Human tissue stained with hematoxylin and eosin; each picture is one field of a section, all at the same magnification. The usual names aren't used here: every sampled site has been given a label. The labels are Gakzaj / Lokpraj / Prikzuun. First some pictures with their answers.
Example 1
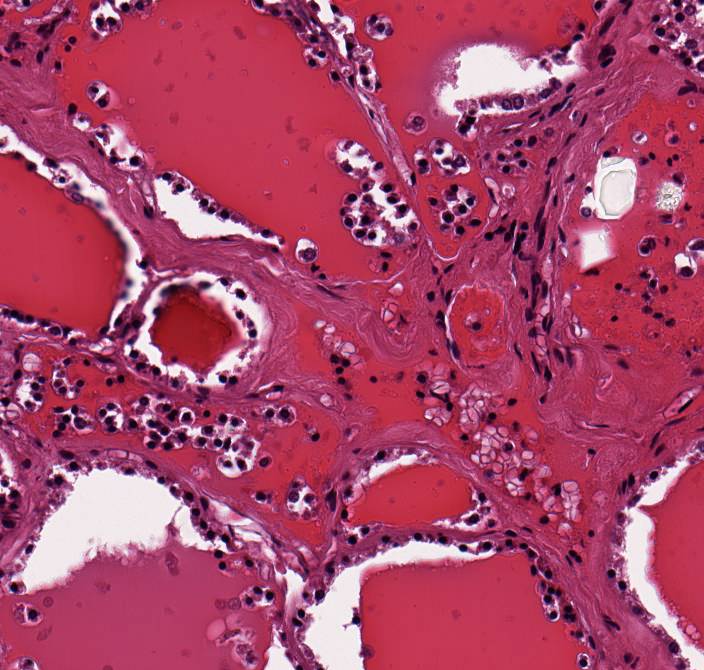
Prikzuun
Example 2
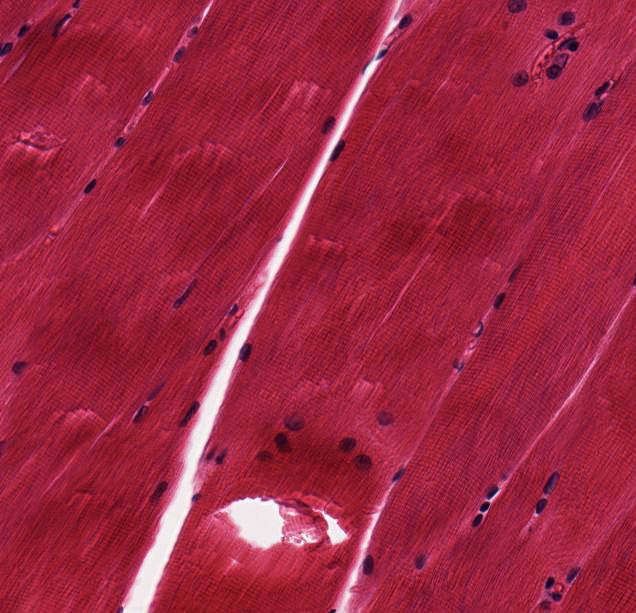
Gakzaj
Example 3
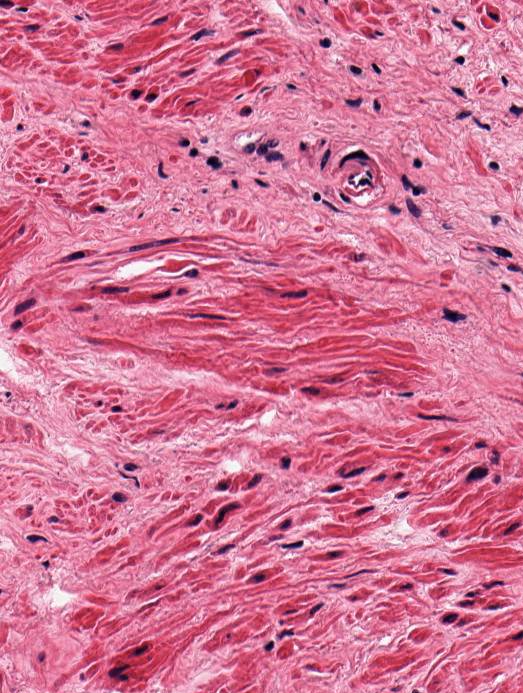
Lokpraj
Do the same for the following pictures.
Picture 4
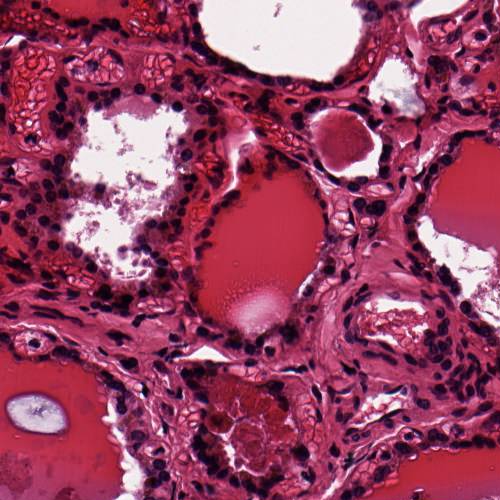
Prikzuun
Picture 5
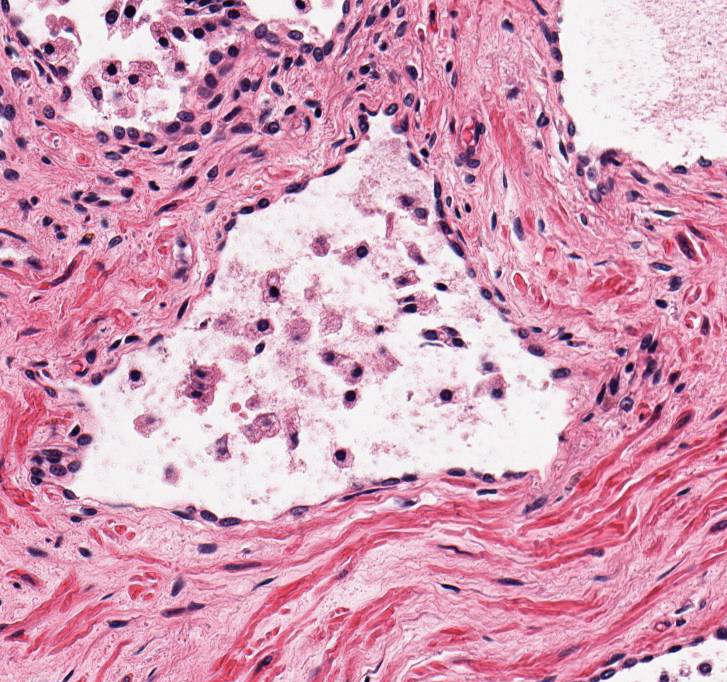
Lokpraj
